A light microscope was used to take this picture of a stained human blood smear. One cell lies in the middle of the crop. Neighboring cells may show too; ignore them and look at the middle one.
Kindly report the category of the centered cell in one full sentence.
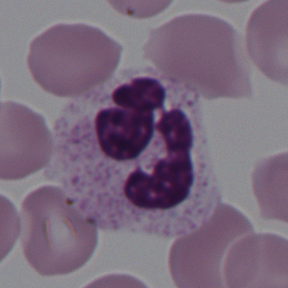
The cell at the heart of this crop is a neutrophil.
